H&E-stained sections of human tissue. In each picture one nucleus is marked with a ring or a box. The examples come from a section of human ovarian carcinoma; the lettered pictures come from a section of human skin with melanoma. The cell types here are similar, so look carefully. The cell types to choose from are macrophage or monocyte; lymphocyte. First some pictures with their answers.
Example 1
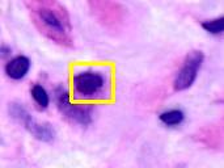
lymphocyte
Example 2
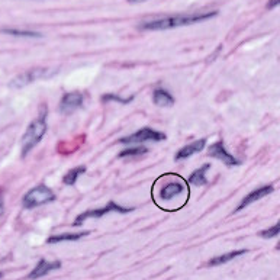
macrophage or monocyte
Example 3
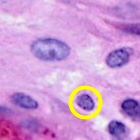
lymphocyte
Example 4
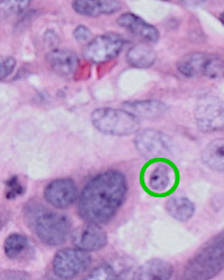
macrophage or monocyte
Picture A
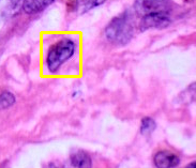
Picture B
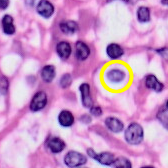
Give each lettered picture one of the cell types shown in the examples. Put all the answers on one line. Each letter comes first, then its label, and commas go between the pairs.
A macrophage or monocyte, B lymphocyte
